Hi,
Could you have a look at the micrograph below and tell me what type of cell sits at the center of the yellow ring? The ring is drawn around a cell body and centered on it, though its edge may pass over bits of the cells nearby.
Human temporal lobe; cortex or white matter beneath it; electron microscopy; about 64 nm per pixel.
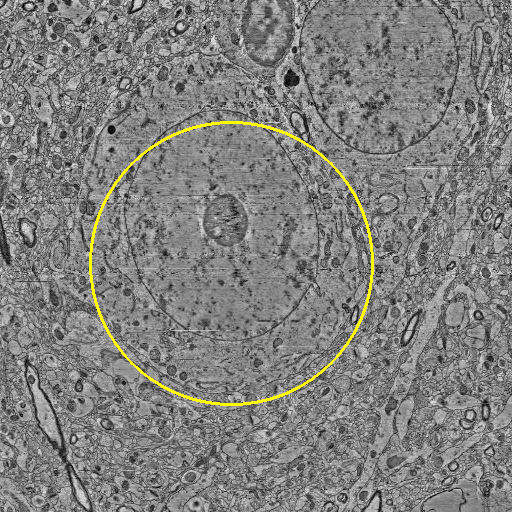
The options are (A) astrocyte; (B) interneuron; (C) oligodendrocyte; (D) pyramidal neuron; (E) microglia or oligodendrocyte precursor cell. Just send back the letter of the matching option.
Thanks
D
